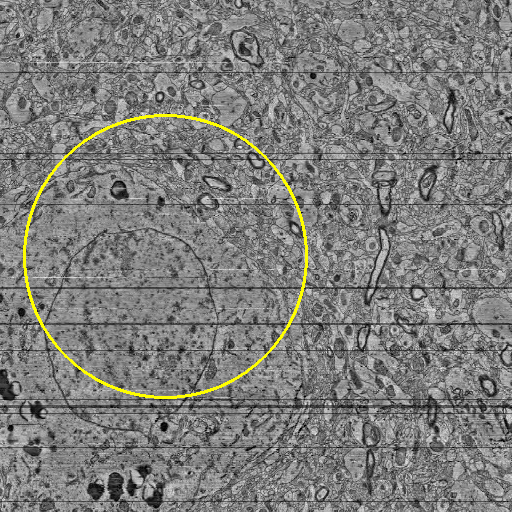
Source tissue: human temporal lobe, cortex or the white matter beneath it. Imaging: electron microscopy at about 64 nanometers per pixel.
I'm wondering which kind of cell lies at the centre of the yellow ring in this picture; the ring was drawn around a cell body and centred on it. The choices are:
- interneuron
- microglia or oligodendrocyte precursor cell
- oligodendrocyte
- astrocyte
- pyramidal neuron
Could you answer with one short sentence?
At the centre of the ring lies a pyramidal neuron.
